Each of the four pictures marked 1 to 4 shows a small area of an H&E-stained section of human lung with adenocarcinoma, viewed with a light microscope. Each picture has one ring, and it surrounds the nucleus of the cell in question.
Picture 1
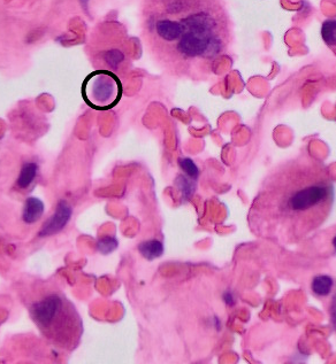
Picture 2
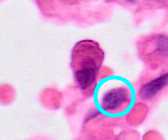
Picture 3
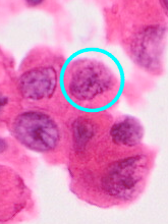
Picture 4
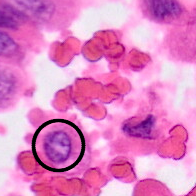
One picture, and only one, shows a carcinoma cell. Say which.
3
